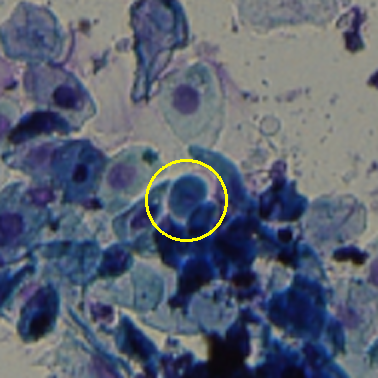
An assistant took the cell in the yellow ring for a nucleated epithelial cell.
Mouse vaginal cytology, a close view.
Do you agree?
I agree, it is a nucleated epithelial cell.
